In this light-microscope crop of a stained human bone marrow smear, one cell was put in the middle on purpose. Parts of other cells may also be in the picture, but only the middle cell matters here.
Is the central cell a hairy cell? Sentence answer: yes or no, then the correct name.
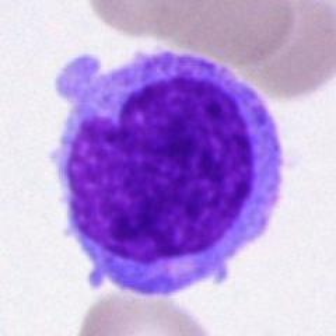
No, the centrally located cell is a monocyte rather than a hairy cell.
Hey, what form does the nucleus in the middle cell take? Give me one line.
The nucleus amounts to one compact mass with a round, oval or kidney-shaped outline.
